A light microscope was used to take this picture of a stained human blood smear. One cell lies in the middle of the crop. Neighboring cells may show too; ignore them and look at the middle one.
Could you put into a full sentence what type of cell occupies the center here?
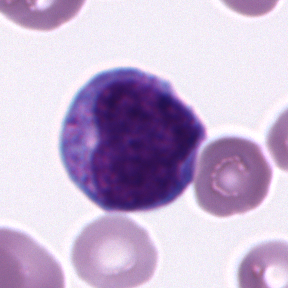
On this slide crop, the central cell is an atypical promyelocyte.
